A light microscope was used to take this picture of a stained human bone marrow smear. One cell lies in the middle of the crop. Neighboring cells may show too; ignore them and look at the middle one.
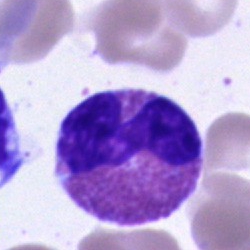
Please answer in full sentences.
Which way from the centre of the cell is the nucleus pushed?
Seen from the middle of the cell, the nucleus lies toward the top.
